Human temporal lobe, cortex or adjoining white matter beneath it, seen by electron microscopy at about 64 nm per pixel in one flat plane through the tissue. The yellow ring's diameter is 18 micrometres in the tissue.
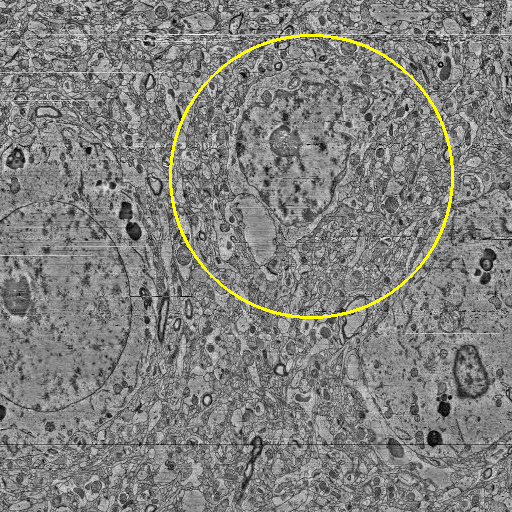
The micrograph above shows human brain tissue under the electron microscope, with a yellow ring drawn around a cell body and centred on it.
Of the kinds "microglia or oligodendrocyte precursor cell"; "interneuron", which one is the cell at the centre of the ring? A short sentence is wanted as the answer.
The one at the centre of the ring is an interneuron.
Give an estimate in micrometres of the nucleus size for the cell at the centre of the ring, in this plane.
Roughly 8 micrometres across for the nucleus, in this plane.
